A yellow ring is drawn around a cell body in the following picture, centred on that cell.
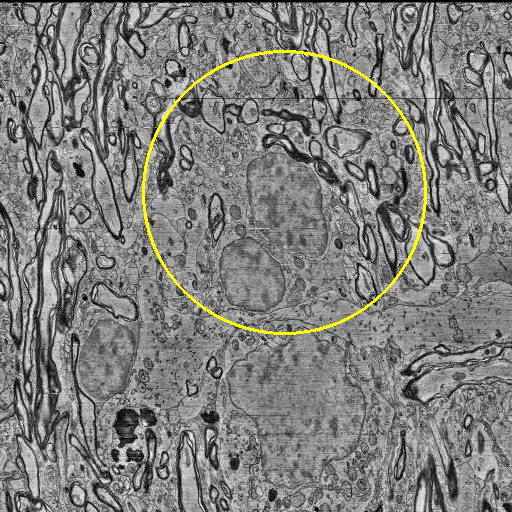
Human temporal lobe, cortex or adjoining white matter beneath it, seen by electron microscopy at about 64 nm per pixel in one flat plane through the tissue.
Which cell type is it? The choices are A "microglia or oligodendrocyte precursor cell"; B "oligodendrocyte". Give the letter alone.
B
